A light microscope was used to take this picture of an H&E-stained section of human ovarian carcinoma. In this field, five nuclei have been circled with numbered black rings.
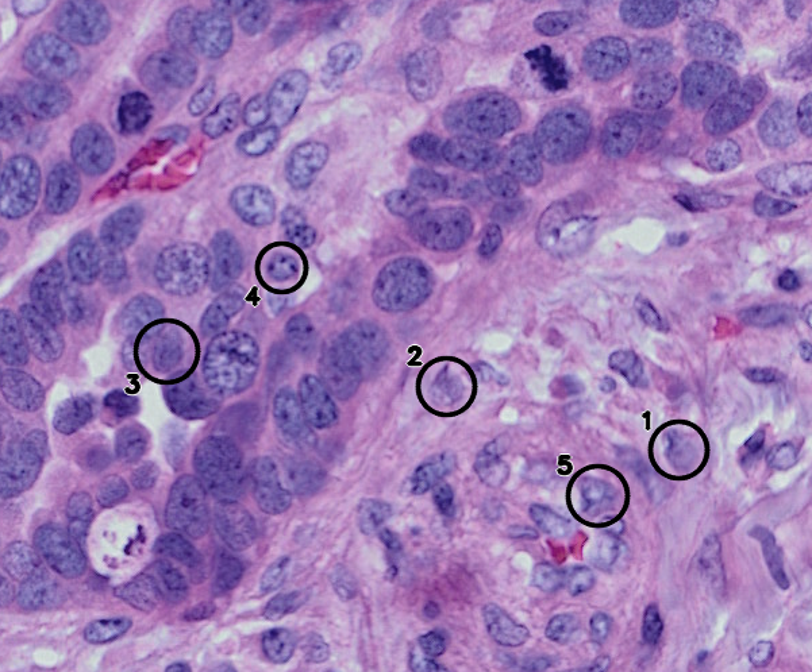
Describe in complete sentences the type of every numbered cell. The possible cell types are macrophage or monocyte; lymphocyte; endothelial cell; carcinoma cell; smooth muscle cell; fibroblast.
Cell 1 is a fibroblast, cell 2 is a fibroblast, cell 3 is a carcinoma cell, cell 4 is a macrophage or monocyte and cell 5 is an endothelial cell.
